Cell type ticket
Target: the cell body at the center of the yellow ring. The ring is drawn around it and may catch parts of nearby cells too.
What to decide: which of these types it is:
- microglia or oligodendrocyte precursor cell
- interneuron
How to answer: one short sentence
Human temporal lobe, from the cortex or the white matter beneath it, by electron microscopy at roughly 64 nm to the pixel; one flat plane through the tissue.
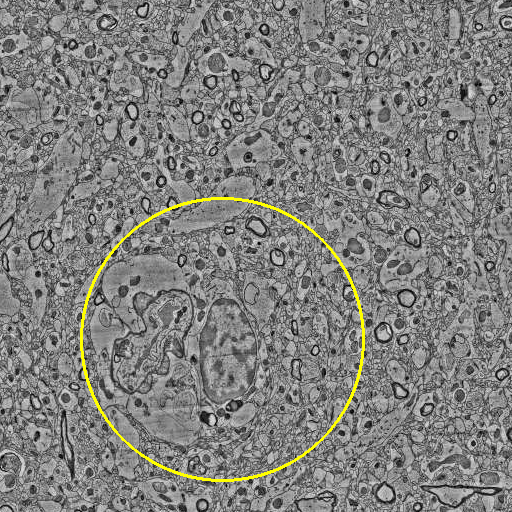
The cell at the center of the ring is a microglial cell or oligodendrocyte precursor cell.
